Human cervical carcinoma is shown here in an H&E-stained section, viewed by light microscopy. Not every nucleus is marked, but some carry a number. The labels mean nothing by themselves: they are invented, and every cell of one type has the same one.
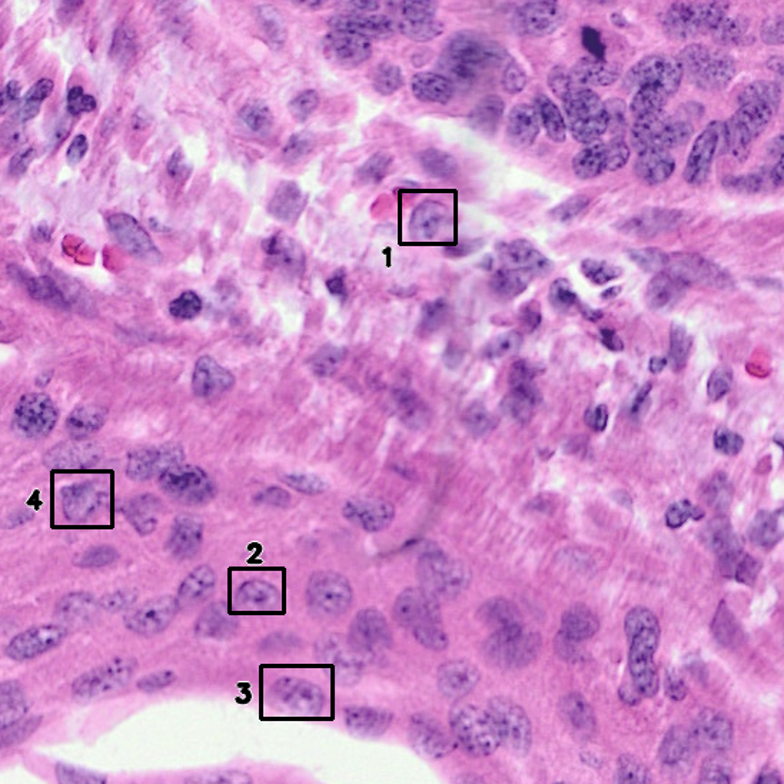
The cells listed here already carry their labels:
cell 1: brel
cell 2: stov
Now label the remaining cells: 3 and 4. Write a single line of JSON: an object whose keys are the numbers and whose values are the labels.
{"3": "stov", "4": "stov"}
